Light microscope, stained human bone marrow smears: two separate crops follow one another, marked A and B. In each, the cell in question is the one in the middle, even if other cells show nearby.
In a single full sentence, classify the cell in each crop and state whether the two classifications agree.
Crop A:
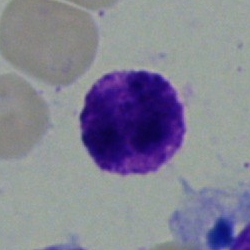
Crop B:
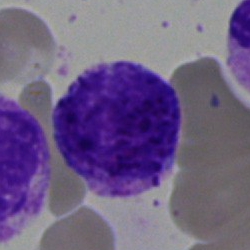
Yes, both crops show basophils in the middle.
